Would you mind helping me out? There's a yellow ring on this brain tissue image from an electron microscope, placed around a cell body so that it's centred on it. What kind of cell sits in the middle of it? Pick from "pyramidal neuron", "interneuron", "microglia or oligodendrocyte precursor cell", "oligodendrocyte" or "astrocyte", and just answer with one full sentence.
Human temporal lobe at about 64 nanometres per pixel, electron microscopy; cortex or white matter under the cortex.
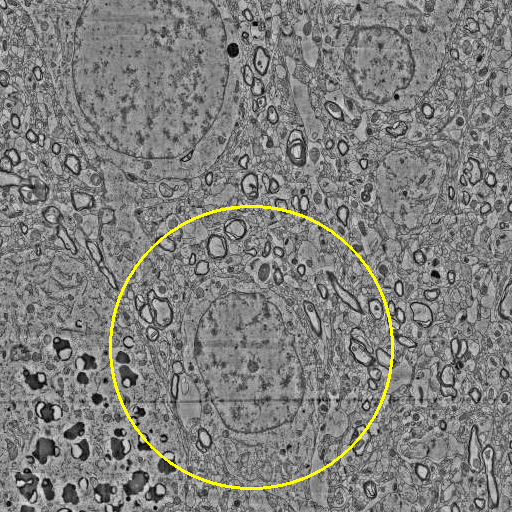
What sits in the middle of that yellow ring is a pyramidal neuron, from your choices.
